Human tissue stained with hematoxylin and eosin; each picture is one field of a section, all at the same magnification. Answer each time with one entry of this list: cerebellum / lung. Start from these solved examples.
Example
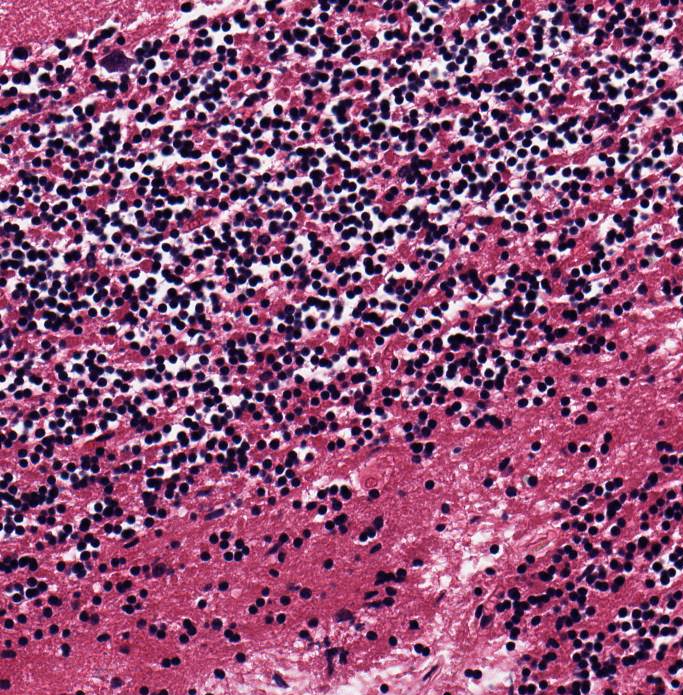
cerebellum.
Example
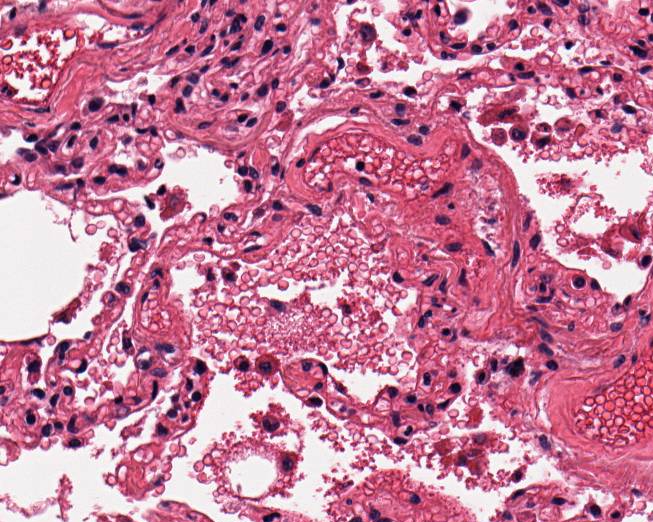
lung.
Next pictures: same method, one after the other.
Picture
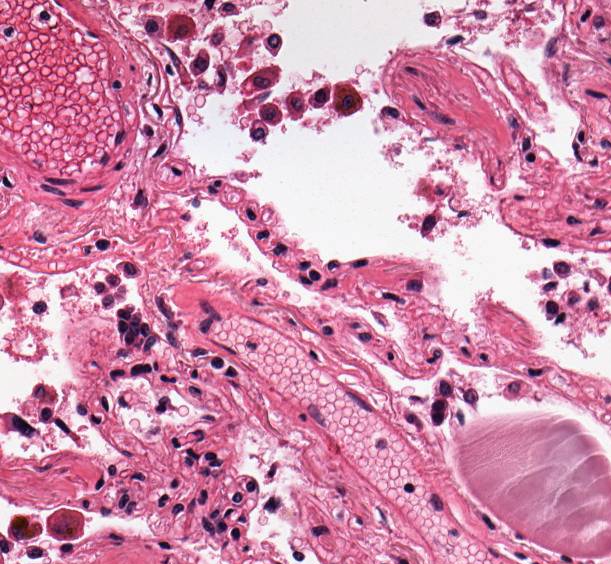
lung.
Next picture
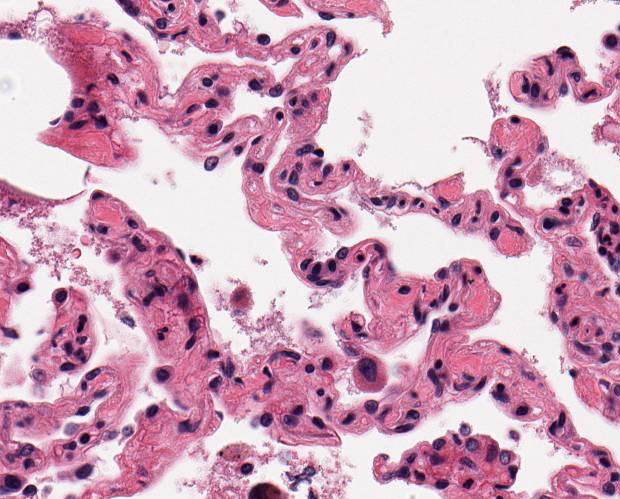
lung.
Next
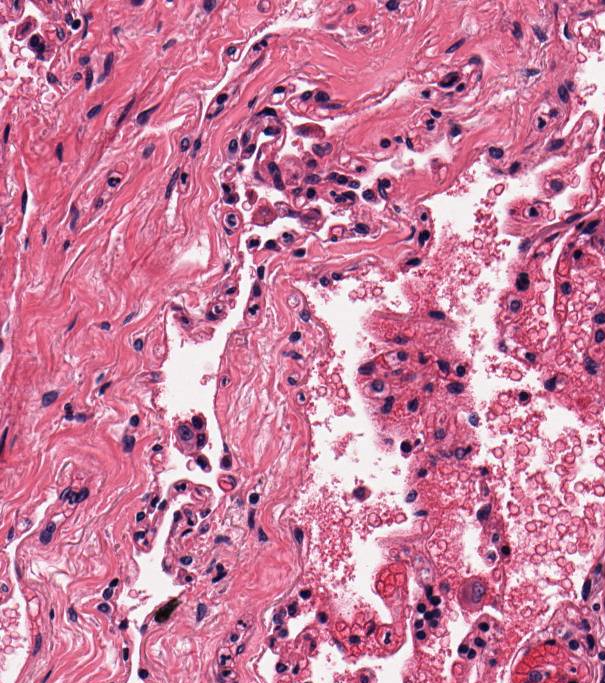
lung.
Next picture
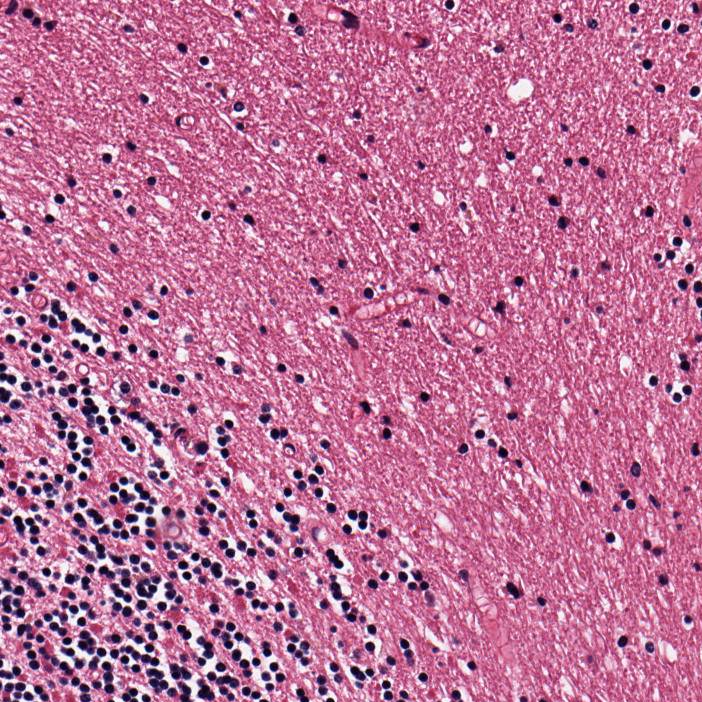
cerebellum.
